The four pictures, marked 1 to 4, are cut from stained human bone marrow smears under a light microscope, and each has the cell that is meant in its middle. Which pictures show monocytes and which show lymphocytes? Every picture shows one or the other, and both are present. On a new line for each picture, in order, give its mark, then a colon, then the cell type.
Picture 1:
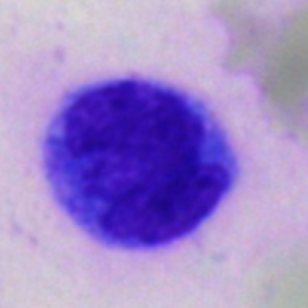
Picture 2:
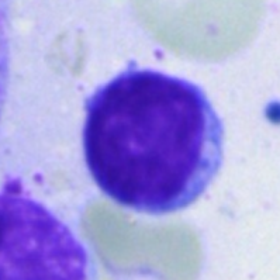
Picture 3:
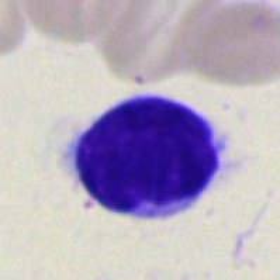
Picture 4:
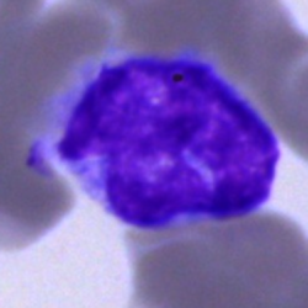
1: monocyte
2: lymphocyte
3: lymphocyte
4: monocyte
